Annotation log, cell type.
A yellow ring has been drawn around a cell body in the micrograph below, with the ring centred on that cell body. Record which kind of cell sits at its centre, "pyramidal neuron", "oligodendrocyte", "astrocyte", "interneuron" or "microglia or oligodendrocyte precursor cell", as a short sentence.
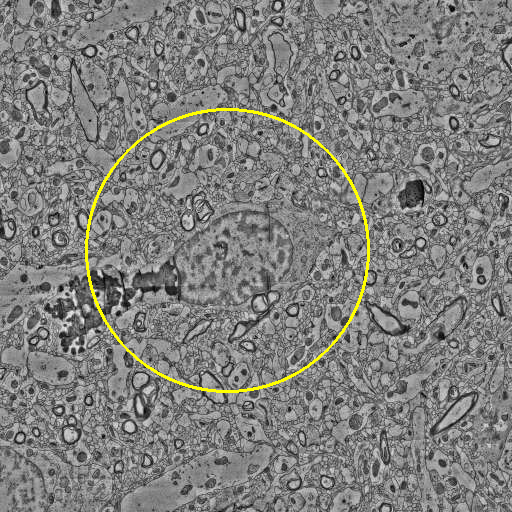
The cell at the centre of this ring is an oligodendrocyte.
